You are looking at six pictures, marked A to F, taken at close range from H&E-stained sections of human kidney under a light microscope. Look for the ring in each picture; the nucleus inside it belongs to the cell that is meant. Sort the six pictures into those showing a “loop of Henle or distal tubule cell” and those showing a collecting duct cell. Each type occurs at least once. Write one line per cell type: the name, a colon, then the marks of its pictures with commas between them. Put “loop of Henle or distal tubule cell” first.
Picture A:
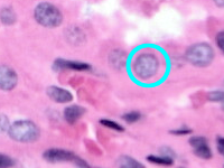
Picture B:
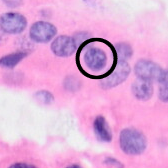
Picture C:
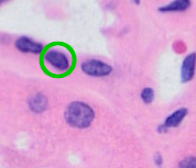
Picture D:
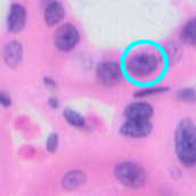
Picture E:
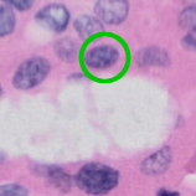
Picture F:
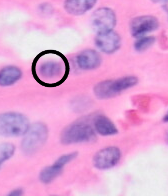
loop of Henle or distal tubule cell: A, E, F
collecting duct cell: B, C, D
